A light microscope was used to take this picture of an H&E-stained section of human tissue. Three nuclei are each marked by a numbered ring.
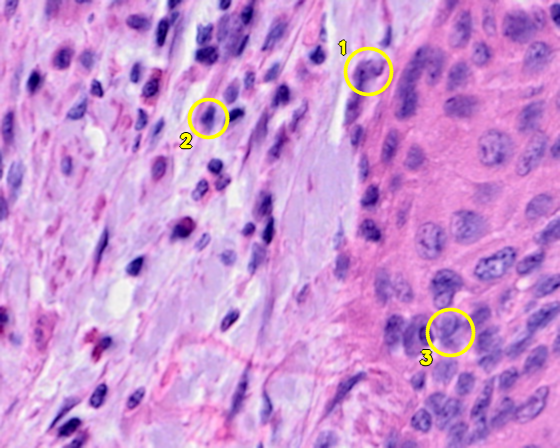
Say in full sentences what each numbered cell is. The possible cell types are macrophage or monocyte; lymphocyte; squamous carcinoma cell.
Cell 1 is a macrophage or monocyte, cell 2 is a lymphocyte and cell 3 is a squamous carcinoma cell.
